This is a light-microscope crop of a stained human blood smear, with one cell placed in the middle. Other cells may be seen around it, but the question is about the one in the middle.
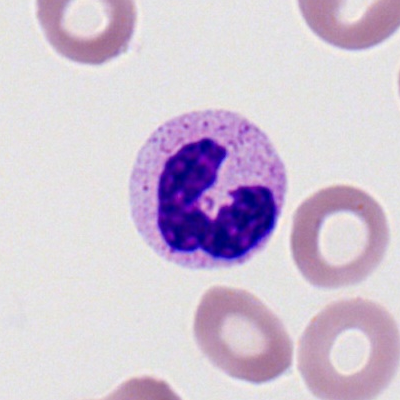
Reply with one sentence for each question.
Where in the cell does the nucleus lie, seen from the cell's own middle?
Toward the bottom of the cell lies its nucleus.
